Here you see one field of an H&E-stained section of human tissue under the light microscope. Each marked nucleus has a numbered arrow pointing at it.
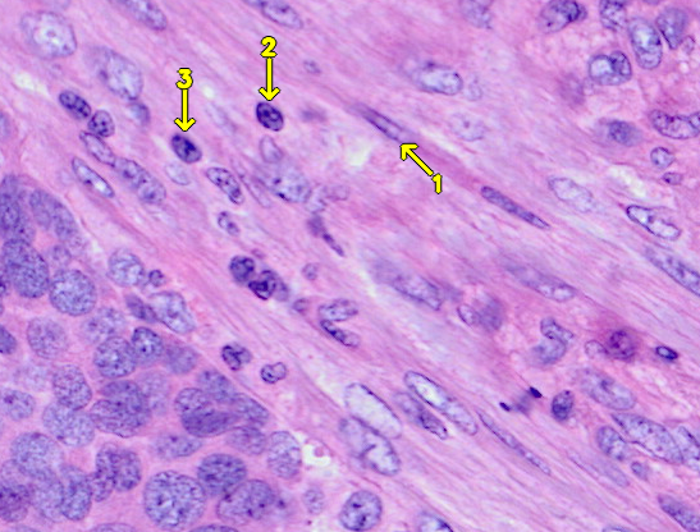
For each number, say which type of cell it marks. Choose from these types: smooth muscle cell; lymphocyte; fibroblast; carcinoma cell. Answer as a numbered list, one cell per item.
1. fibroblast
2. lymphocyte
3. lymphocyte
